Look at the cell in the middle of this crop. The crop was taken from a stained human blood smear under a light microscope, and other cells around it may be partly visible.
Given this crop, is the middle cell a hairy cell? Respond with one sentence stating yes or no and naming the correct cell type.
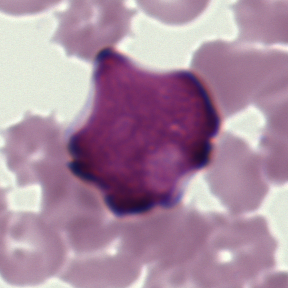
No, the cell located centrally is a blast rather than a hairy cell.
